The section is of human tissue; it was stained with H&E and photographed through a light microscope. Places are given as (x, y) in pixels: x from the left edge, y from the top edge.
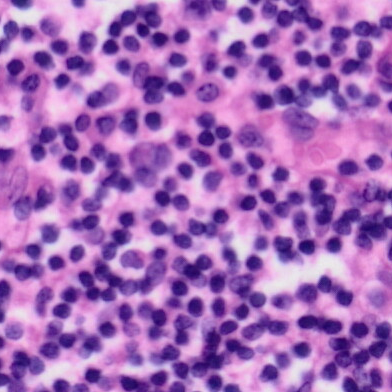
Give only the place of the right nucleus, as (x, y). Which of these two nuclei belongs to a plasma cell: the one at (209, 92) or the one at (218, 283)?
(209, 92)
